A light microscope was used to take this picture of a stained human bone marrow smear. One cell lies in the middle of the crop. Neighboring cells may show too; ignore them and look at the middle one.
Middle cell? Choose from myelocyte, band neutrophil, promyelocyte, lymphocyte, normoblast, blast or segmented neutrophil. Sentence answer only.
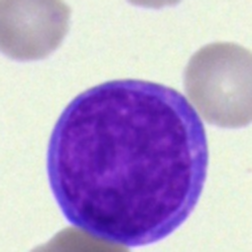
The cell of interest, located centrally, is a blast.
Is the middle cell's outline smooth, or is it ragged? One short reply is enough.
The cell shows a smooth outline that lacks any surface projections.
